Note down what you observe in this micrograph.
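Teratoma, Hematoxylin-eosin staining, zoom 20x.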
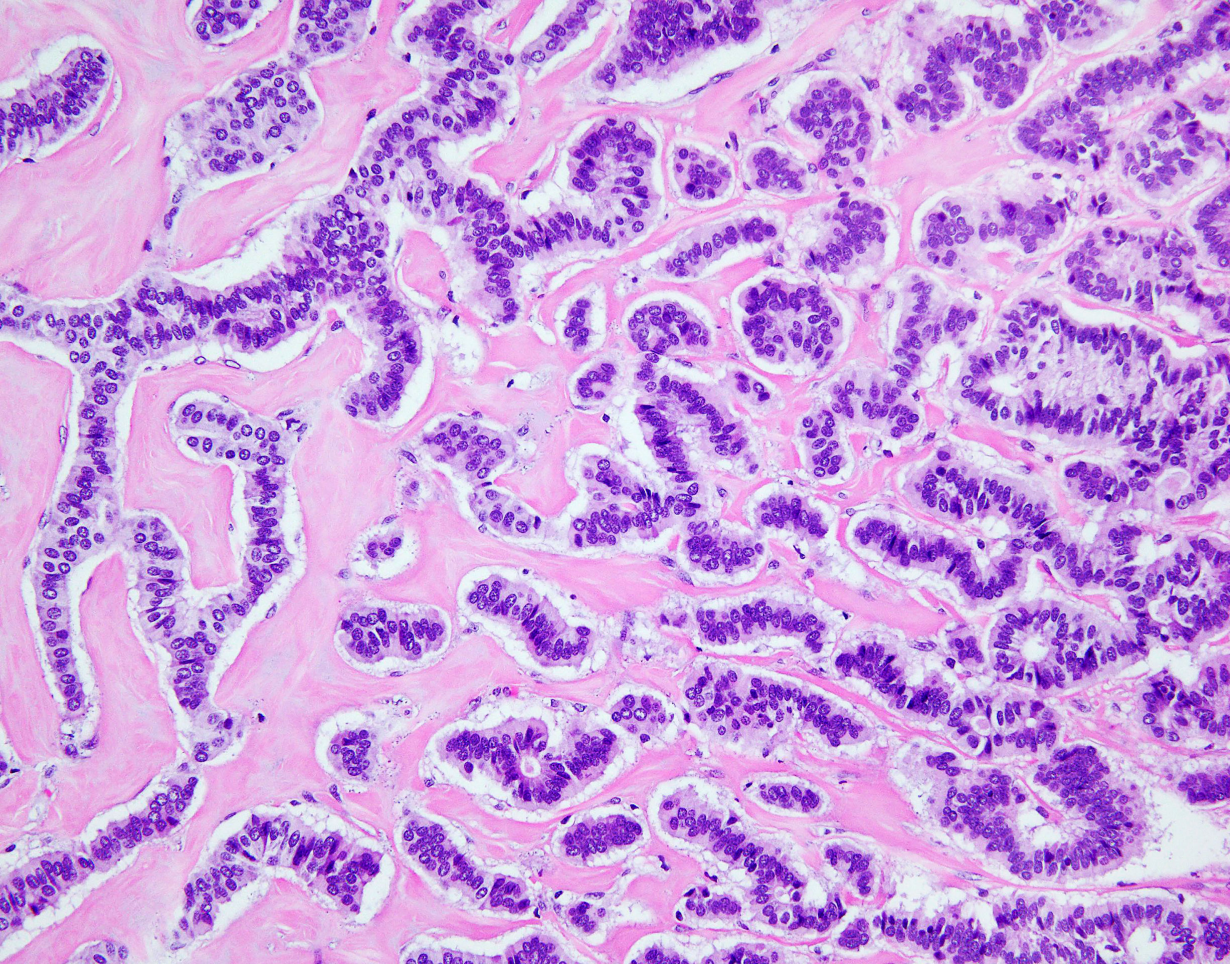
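The cells have elongated, oval, purple nuclei with fine chromatin, lined up side by side with their long axes across the ribbons, giving a palisaded look. The cytoplasm is pale and partly bubbly, with a thin clear space separating many cords from the surrounding stroma.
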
